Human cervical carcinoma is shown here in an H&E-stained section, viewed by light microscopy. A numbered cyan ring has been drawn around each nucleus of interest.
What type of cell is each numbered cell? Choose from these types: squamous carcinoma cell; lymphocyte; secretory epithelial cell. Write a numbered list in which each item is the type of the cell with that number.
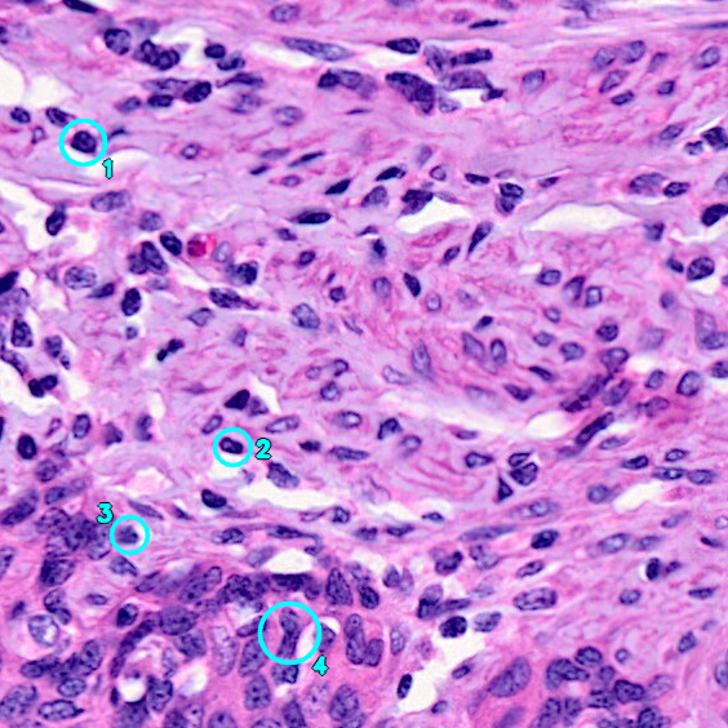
1. lymphocyte
2. lymphocyte
3. lymphocyte
4. squamous carcinoma cell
